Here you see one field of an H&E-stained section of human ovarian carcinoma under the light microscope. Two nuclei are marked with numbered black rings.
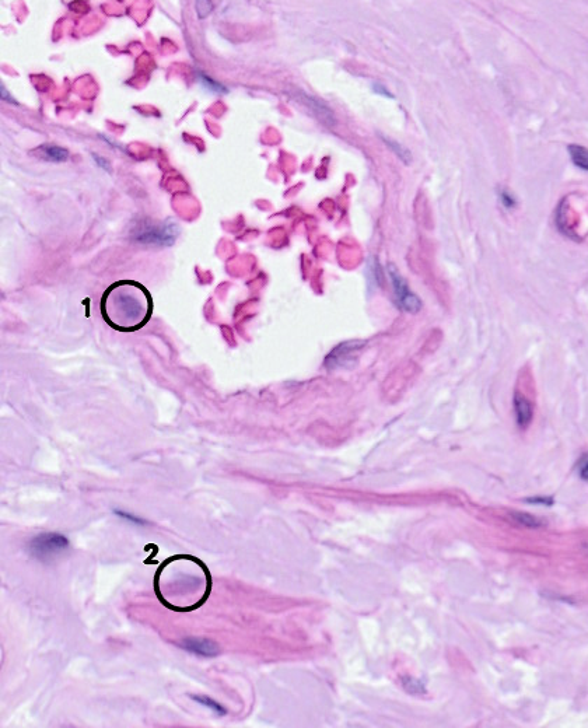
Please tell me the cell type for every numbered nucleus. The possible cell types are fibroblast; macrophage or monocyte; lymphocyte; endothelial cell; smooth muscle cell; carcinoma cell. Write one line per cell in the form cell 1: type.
cell 1: endothelial cell
cell 2: smooth muscle cell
